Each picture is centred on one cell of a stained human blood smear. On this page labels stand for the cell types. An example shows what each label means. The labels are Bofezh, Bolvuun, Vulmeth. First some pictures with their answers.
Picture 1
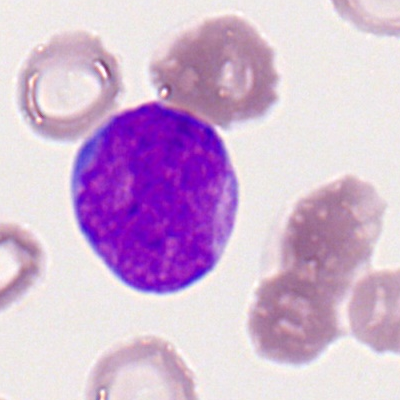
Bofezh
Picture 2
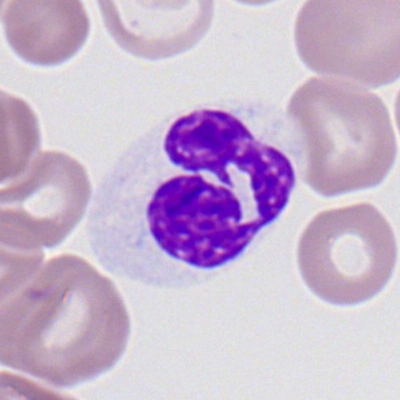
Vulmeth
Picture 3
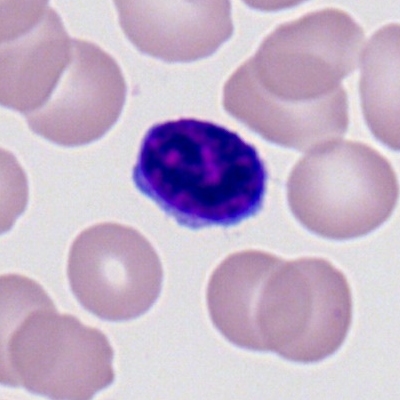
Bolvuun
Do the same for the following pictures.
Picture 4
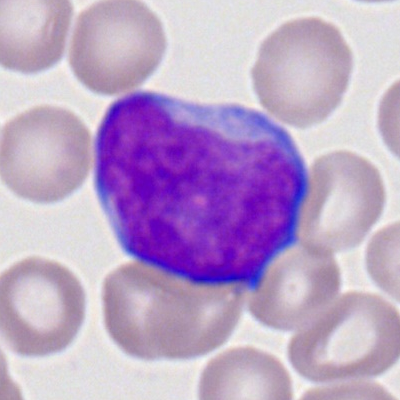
Bofezh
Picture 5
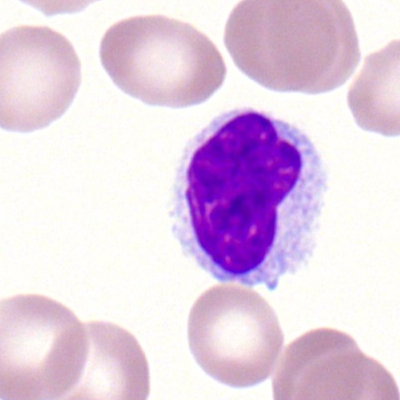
Bolvuun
